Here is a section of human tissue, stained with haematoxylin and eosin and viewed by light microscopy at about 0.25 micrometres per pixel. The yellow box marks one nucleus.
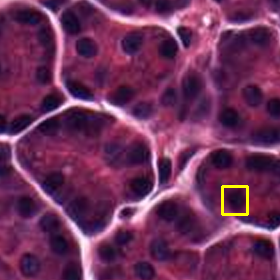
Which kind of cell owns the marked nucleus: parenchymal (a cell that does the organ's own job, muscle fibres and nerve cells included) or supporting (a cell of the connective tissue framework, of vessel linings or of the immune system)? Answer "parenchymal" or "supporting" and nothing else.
parenchymal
